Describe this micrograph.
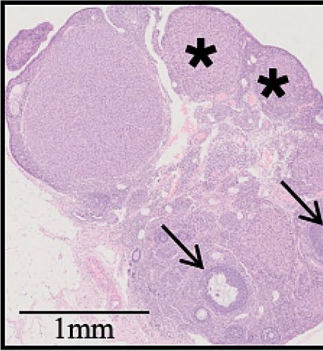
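This ovary section consists mostly of large solid rounded bodies, the corpora lutea, filled with densely packed pink-purple cells and lacking any cavity; one very large such body occupies the left side. The outer surface is lobulated where the bodies bulge outward.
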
